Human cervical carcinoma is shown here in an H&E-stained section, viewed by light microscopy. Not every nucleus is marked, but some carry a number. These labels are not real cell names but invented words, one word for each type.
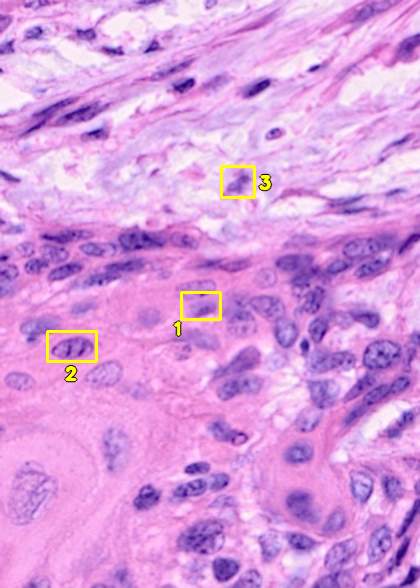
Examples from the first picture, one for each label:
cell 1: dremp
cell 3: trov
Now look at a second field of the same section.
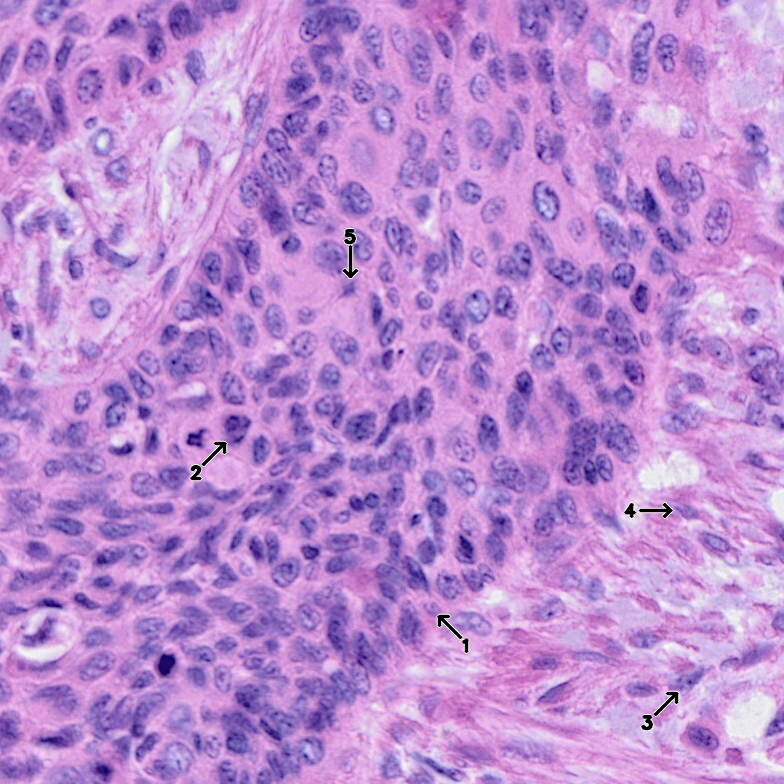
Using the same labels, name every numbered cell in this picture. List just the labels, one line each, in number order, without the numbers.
dremp
dremp
trov
trov
dremp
